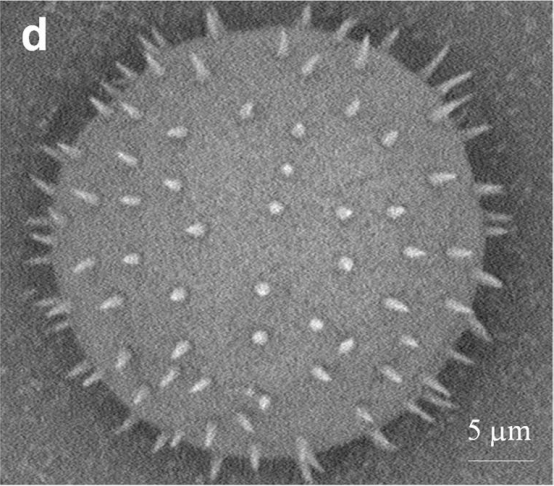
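Single spherical pollen grain seen by scanning electron microscopy. The exine surface is smooth and even between the ornaments. Short straight conical spines are spaced regularly over the face and project radially around the rim. No sculptured bulges are seen.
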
